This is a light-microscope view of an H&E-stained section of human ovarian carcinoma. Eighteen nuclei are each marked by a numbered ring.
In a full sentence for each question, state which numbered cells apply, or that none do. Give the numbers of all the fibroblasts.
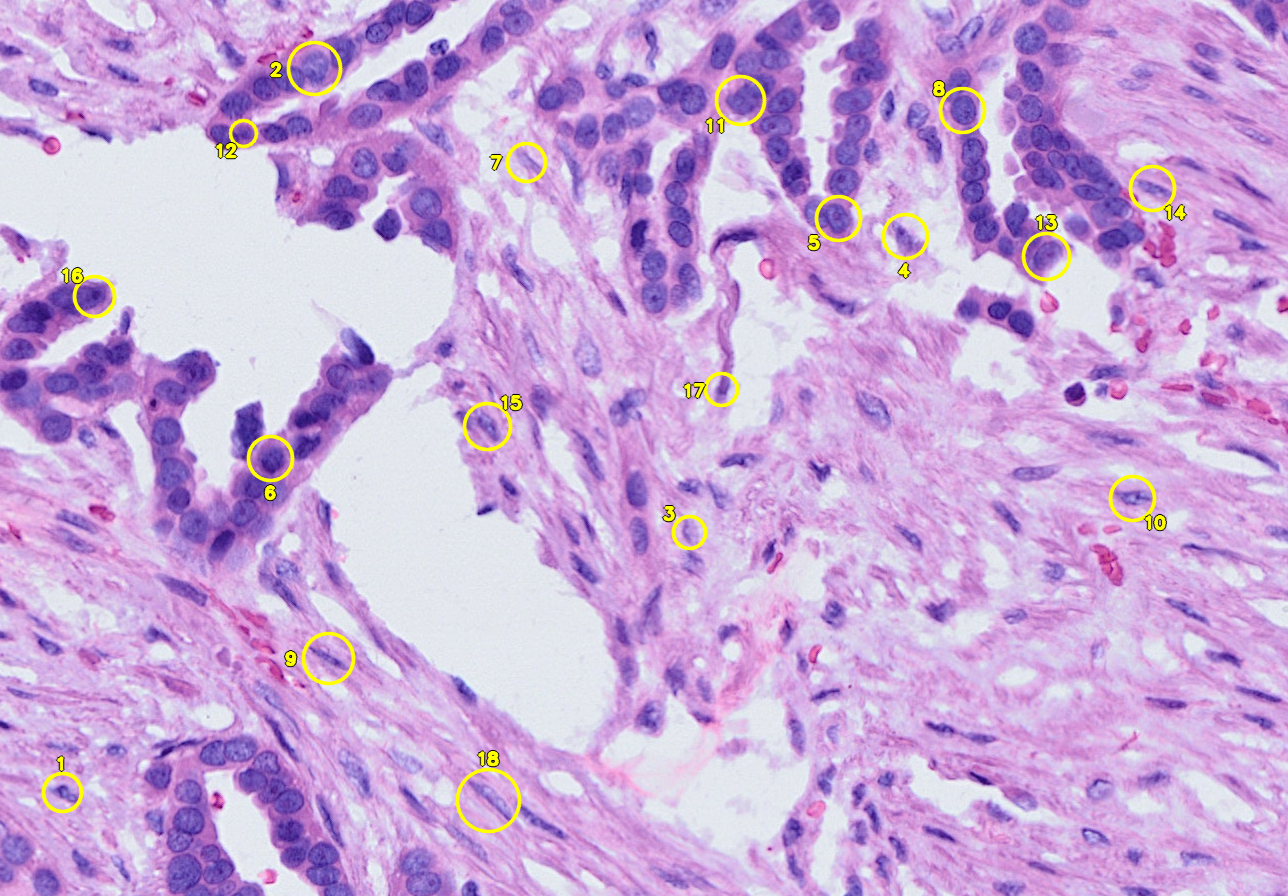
The cells identified by the numbers 1, 3, 4, 7, 9, 10, 14, 15, 17 and 18 are fibroblasts.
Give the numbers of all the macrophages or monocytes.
There are no macrophages or monocytes in the group of numbered cells.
